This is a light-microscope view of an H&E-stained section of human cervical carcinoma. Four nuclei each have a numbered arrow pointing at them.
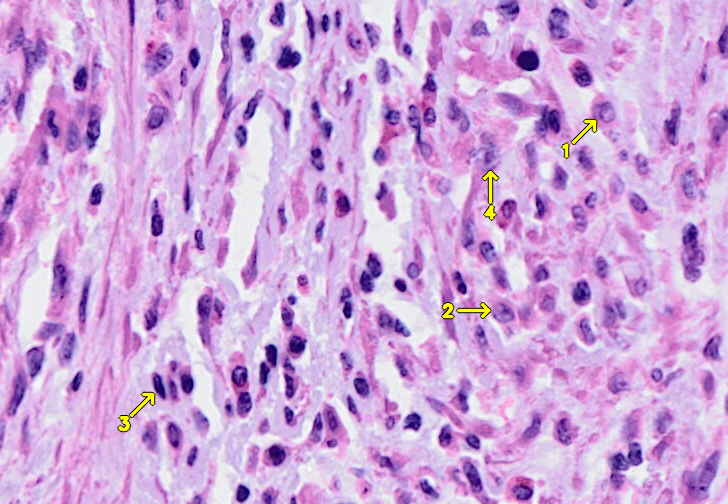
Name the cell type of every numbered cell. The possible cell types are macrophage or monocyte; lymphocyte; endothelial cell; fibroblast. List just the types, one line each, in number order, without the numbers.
macrophage or monocyte
macrophage or monocyte
lymphocyte
fibroblast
